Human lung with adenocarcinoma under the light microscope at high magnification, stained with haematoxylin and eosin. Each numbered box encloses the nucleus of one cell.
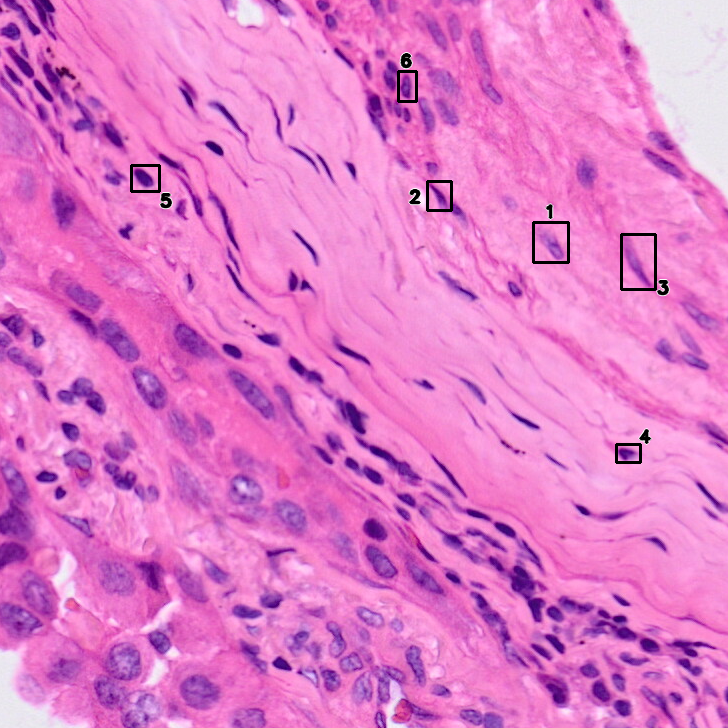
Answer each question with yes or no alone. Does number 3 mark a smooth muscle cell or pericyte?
yes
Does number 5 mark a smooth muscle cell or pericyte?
no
